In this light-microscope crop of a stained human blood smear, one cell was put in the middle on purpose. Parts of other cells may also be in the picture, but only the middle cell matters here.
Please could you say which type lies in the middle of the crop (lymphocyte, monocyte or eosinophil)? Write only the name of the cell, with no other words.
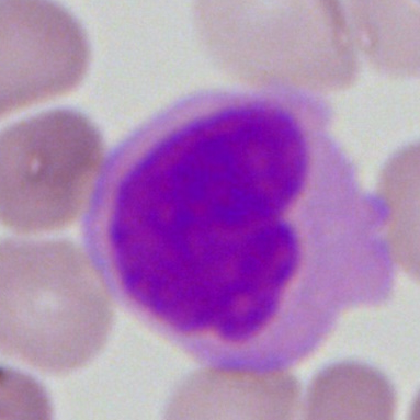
monocyte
